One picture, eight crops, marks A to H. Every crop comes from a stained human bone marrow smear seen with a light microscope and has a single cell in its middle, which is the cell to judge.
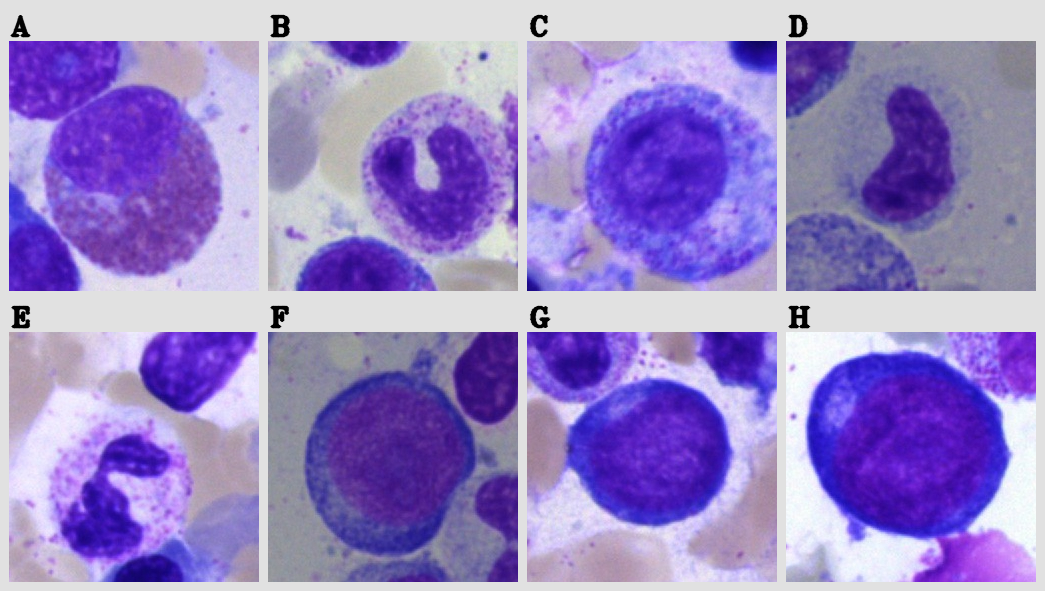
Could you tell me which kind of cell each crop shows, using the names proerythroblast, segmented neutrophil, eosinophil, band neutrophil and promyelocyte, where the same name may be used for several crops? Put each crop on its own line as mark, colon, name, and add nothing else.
A: eosinophil
B: band neutrophil
C: promyelocyte
D: band neutrophil
E: segmented neutrophil
F: proerythroblast
G: proerythroblast
H: proerythroblast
